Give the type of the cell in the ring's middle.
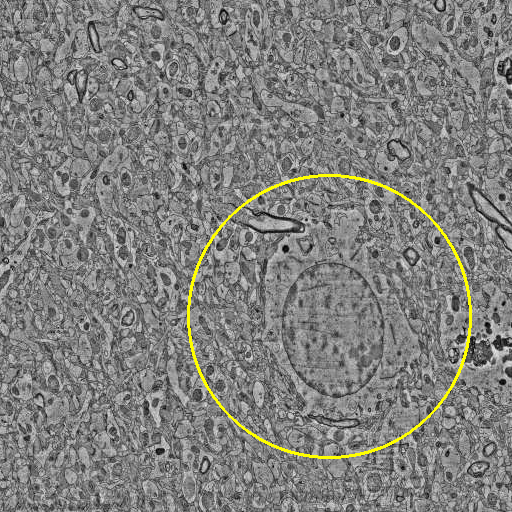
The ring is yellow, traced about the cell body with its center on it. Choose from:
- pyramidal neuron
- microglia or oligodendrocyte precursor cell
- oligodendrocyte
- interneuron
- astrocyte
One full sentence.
Here, an astrocyte is the cell lying at the center of the yellow ring.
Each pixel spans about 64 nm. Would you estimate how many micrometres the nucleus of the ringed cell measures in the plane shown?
The nucleus comes to roughly 9 by 6 micrometres in this plane.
